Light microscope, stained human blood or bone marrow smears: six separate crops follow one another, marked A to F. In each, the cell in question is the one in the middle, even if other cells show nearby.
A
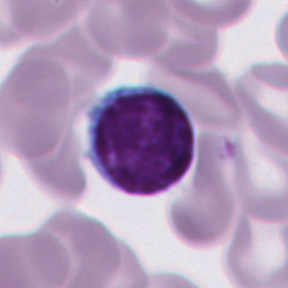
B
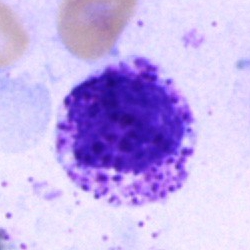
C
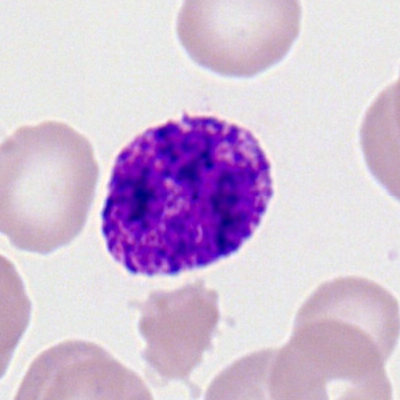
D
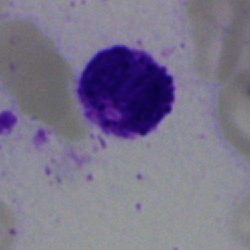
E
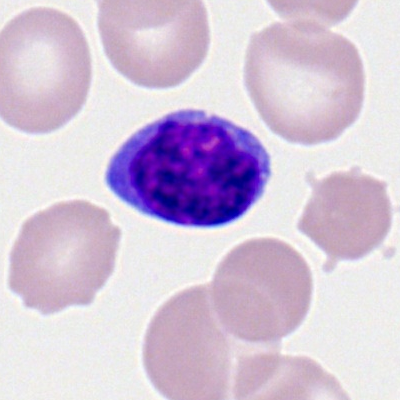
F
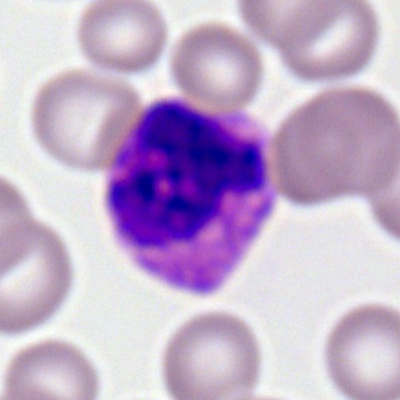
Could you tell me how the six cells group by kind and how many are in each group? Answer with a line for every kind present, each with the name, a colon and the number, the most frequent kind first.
basophil: 4
lymphocyte: 2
